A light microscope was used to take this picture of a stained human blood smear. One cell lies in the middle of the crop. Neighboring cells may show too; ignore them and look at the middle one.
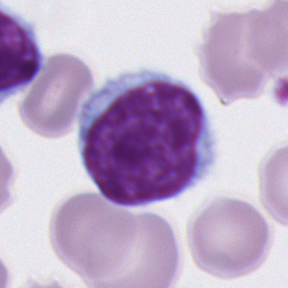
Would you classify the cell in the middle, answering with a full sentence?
The crop's centre is taken up by a typical lymphocyte.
